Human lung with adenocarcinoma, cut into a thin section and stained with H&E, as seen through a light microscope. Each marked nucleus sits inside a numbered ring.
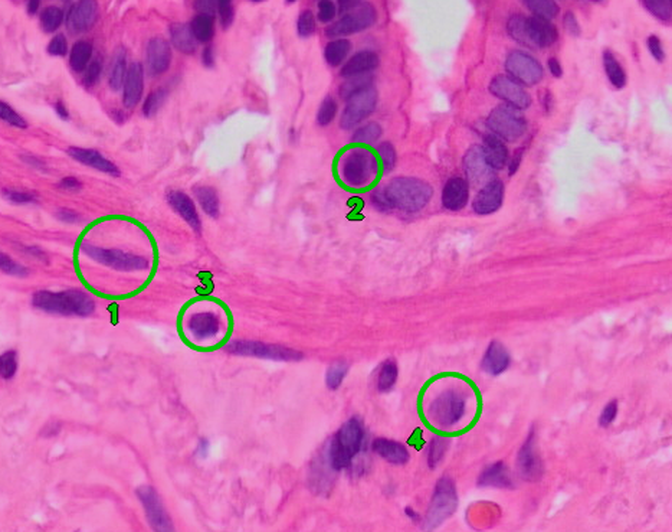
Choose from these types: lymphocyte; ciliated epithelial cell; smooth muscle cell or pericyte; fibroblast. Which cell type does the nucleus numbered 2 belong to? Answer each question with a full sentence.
The marked cell with the number 2 is recognised as a ciliated epithelial cell.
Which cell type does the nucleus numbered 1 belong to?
The mark numbered 1 indicates the nucleus of a smooth muscle cell or pericyte.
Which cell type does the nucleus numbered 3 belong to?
Here, the cell given the number 3 is a lymphocyte.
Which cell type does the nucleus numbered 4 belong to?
Nucleus 4 in this section belongs to a fibroblast.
